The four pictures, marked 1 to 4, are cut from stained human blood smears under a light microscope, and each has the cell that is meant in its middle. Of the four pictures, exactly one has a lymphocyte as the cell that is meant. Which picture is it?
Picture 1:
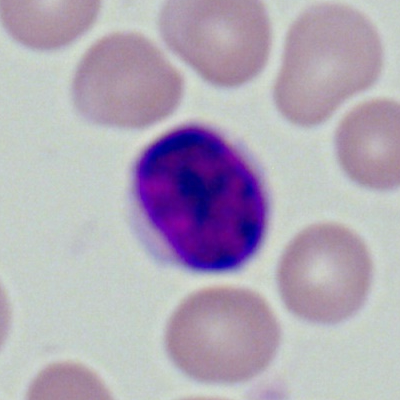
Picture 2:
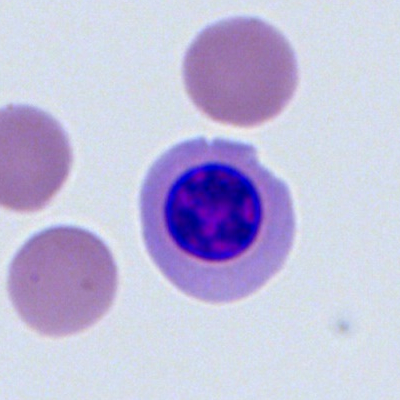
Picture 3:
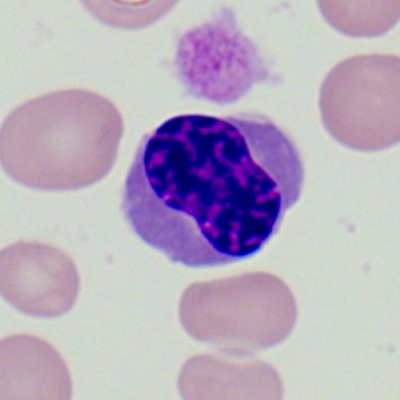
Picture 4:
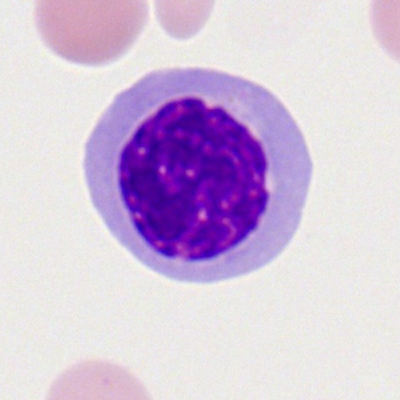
1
